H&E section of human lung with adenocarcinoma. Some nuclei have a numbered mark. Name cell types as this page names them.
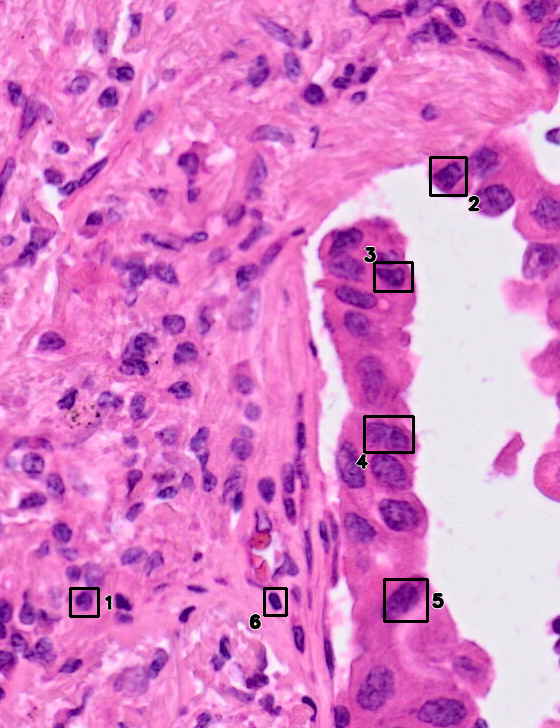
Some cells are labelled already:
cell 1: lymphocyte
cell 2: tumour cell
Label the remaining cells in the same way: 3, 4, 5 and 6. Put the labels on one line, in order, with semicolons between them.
tumour cell; tumour cell; tumour cell; lymphocyte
